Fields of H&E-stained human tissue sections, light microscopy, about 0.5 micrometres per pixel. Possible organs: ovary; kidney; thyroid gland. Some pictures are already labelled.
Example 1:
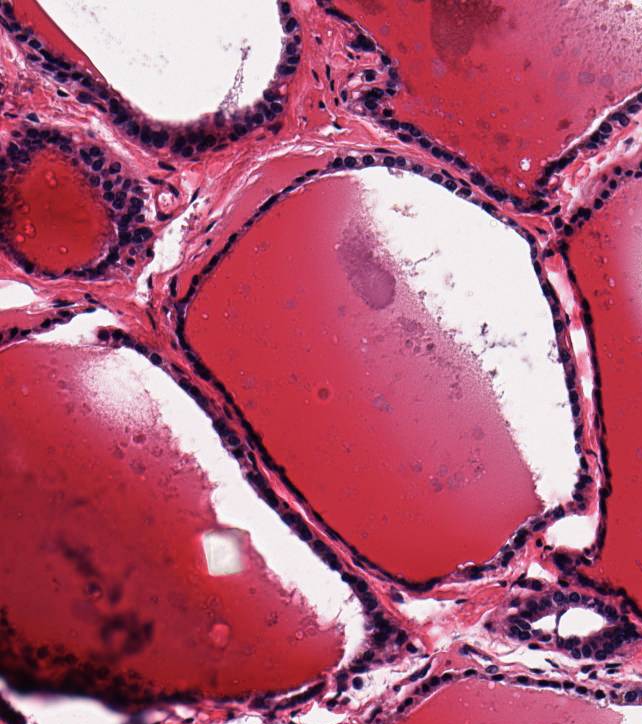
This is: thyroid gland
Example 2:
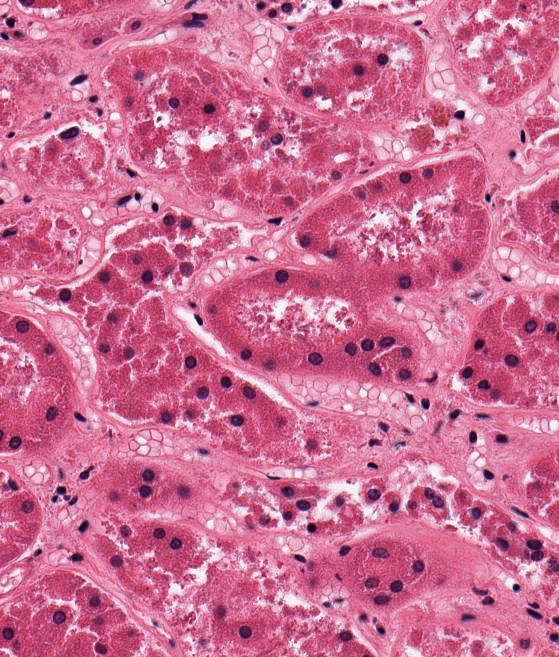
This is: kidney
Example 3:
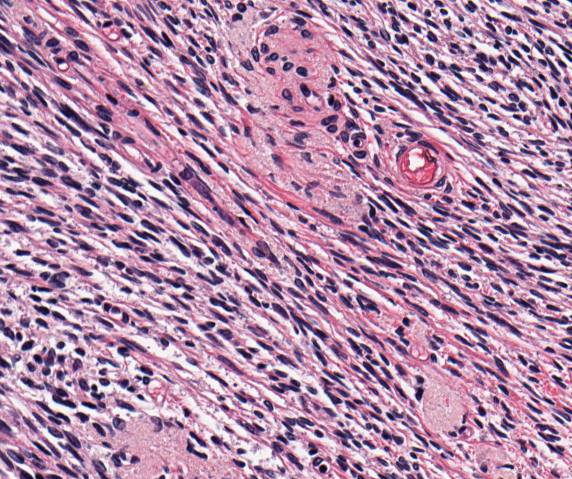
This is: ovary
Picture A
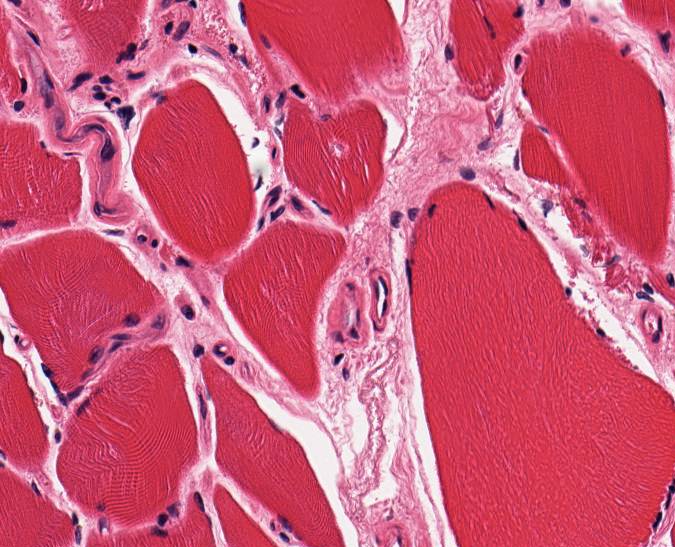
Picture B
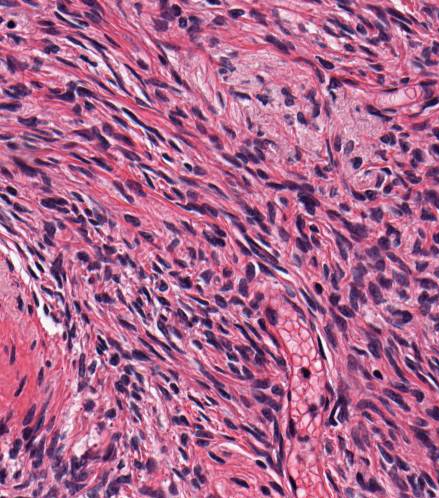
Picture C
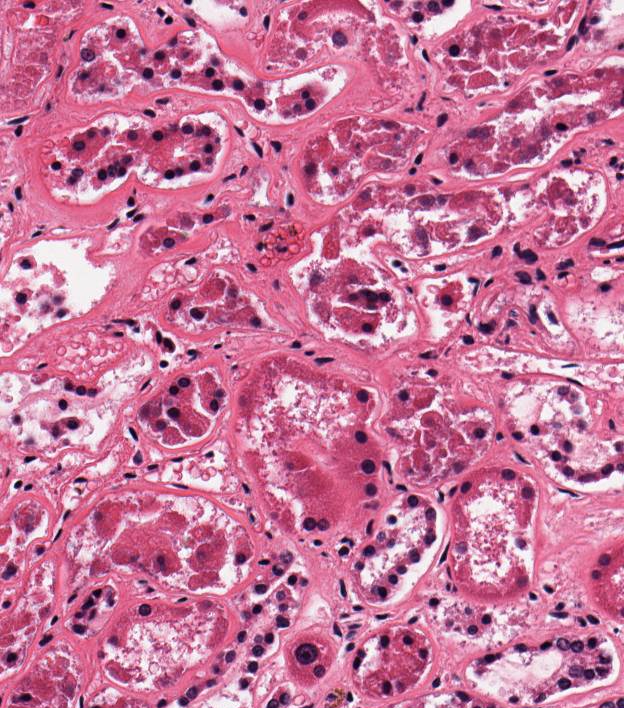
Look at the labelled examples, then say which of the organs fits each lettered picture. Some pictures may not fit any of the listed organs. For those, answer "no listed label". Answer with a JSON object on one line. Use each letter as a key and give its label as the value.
{"A": "no listed label", "B": "ovary", "C": "kidney"}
